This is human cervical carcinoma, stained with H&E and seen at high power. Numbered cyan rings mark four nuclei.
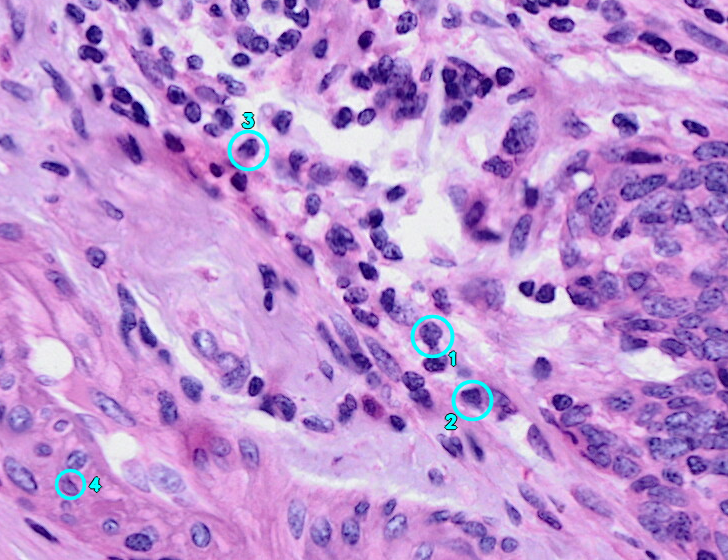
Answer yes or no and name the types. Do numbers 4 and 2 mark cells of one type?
No; cell 4 is a smooth muscle cell, whereas cell 2 is a lymphocyte.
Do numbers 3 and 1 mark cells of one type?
Yes, for cells 3 and 1 alike, the identity is that of lymphocytes.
